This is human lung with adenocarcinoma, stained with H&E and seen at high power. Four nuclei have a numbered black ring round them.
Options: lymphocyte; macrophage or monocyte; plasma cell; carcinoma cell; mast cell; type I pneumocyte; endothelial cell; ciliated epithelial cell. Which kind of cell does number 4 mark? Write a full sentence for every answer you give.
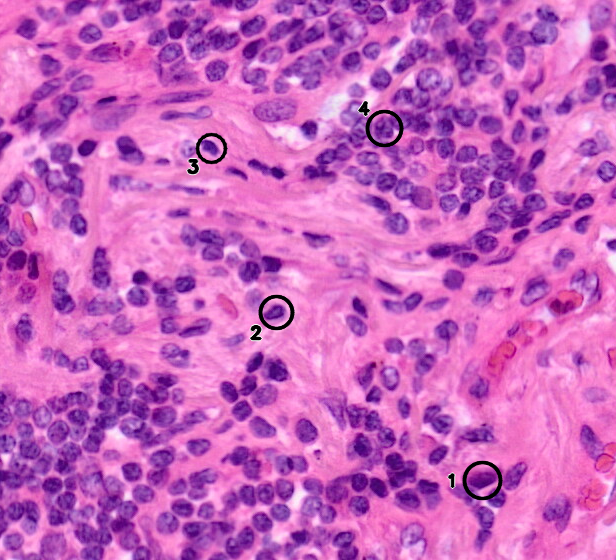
Number 4 is placed on a lymphocyte here.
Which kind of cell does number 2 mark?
As for number 2, that cell is a lymphocyte.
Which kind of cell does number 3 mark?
In this section, the cell numbered 3 is a lymphocyte.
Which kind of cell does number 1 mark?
The cell that is numbered 1 is a plasma cell.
